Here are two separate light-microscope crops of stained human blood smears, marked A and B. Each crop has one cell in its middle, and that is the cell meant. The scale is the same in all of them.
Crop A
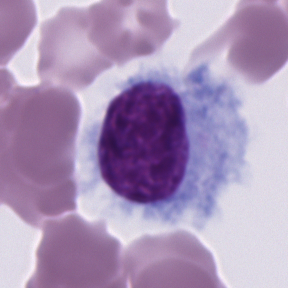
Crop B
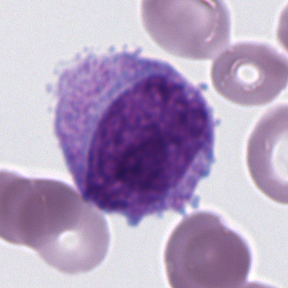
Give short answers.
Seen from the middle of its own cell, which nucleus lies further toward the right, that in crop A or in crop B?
B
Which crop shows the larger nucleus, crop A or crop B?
B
